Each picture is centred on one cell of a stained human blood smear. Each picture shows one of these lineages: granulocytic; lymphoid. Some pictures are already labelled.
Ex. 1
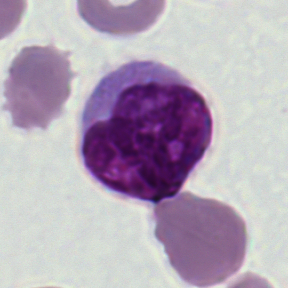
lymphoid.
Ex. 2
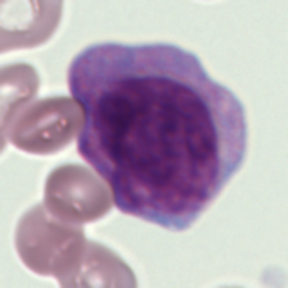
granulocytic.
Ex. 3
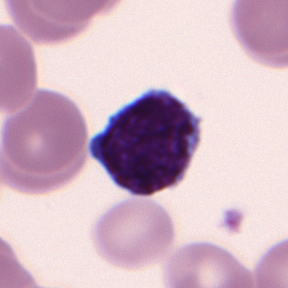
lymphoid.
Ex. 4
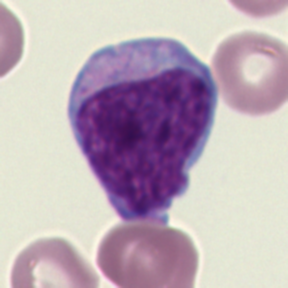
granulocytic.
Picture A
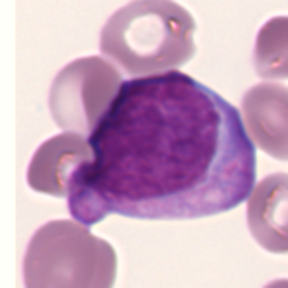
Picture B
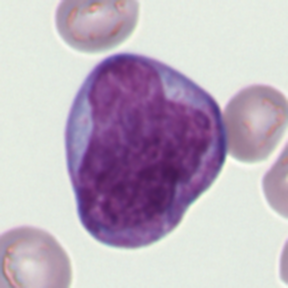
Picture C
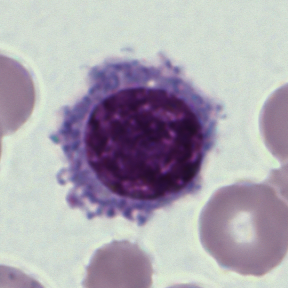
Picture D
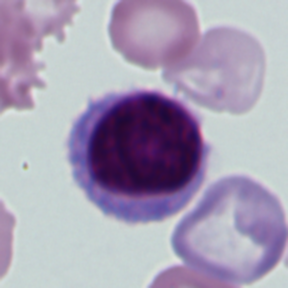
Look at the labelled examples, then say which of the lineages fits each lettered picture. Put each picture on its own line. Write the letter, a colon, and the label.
A: granulocytic.
B: granulocytic.
C: lymphoid.
D: lymphoid.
